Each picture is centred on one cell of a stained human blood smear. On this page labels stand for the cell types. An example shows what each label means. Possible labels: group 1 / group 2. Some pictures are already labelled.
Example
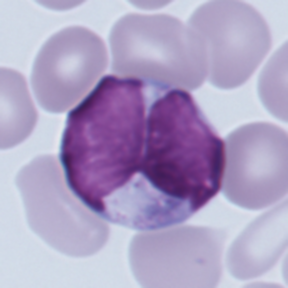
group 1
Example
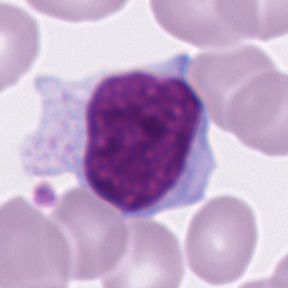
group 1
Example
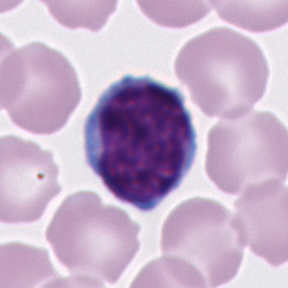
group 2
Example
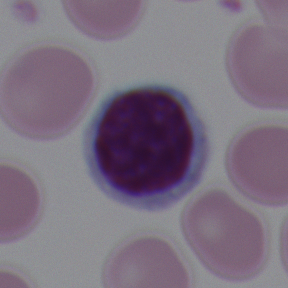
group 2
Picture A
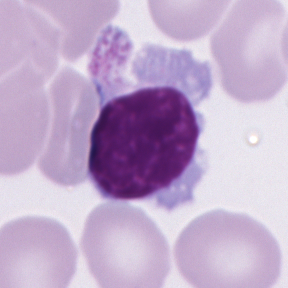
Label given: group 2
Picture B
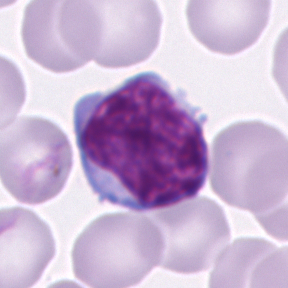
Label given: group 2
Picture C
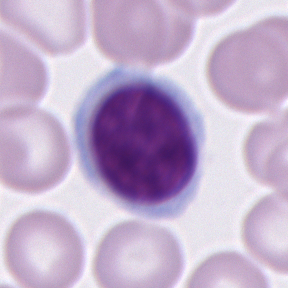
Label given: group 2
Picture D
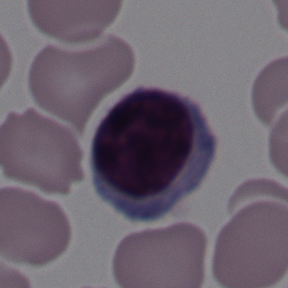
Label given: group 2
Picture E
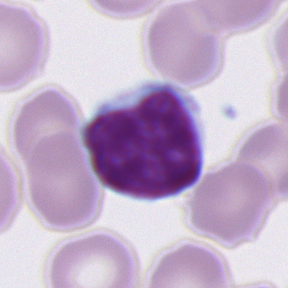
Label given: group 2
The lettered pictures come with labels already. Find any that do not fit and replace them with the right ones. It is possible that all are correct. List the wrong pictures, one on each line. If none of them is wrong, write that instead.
A: change group 2 to group 1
